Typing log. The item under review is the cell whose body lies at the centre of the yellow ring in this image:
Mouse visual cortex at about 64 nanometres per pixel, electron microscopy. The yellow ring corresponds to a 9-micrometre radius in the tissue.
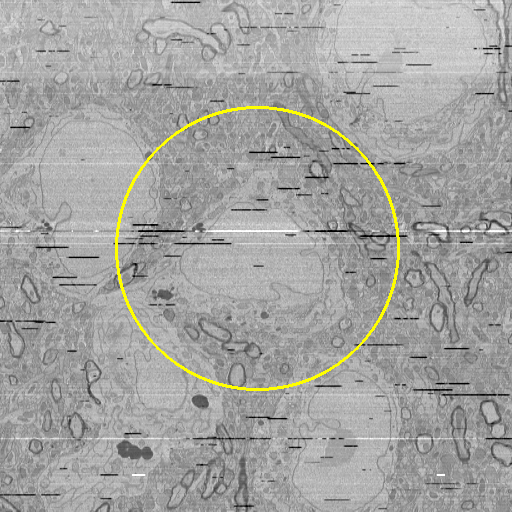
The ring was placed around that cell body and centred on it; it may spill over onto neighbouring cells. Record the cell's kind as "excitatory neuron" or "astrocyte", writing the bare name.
excitatory neuron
